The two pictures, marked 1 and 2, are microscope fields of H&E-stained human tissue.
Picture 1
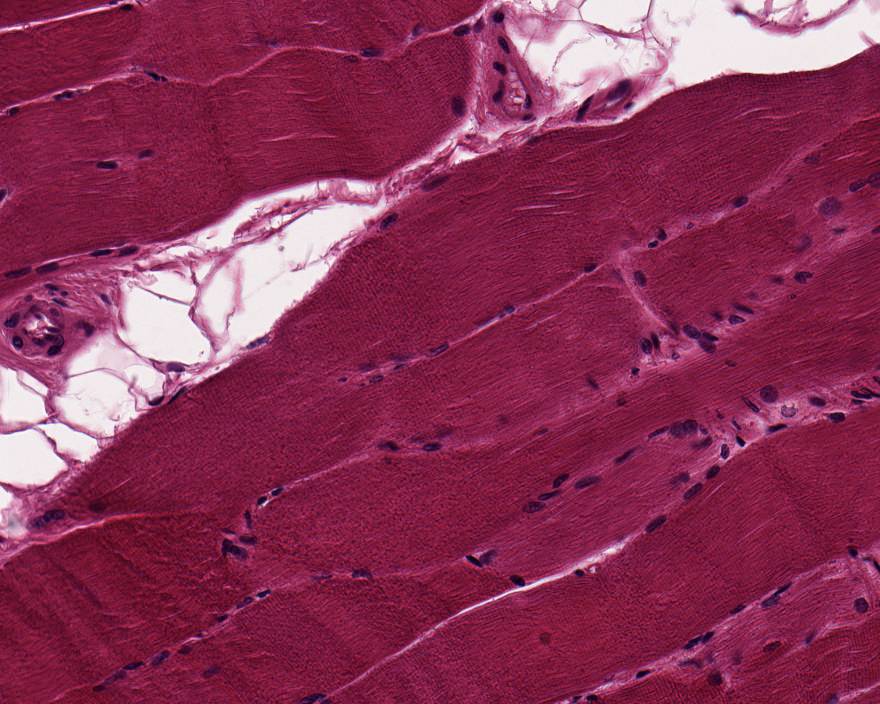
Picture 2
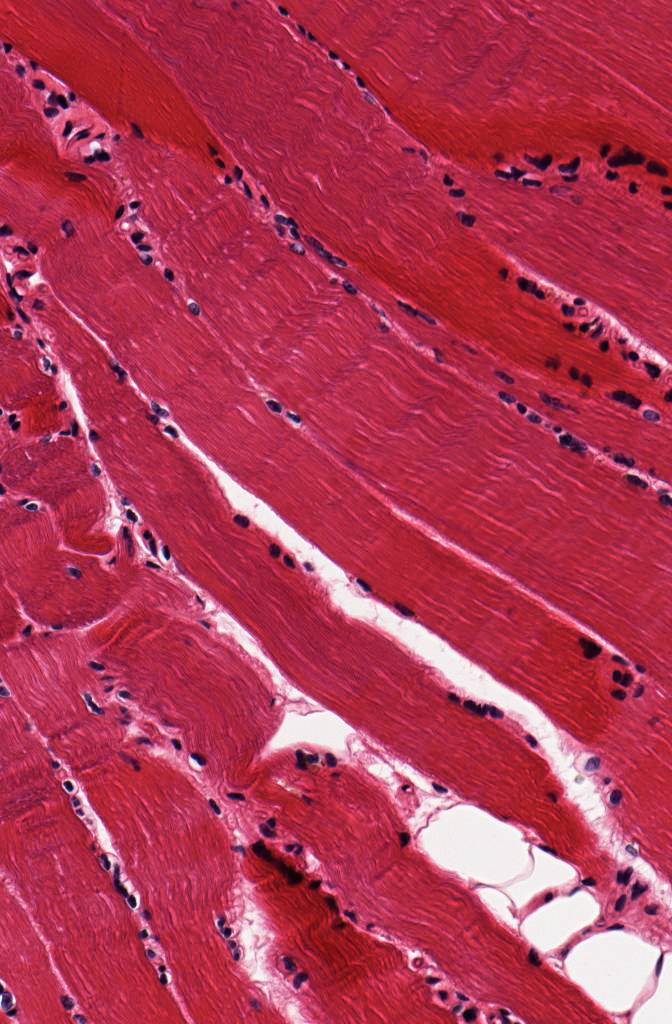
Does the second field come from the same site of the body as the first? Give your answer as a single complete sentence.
Yes, they come from the same site of the body: both come from skeletal muscle.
